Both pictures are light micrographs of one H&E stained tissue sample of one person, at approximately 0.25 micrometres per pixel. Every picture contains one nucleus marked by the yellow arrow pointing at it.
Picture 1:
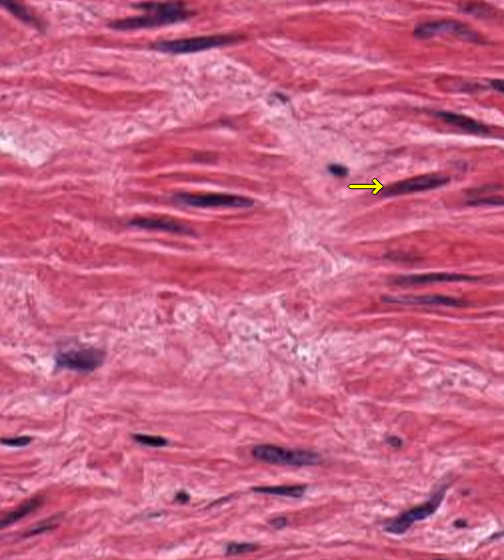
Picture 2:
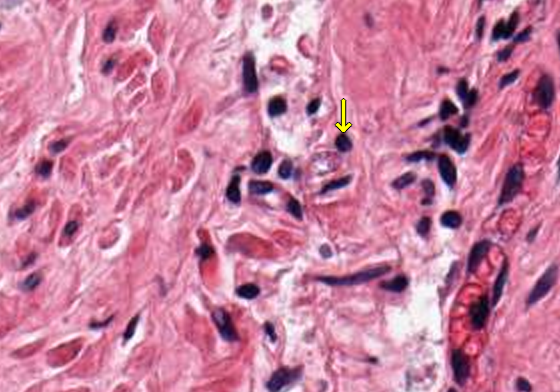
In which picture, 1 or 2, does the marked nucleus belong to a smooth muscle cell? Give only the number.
1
